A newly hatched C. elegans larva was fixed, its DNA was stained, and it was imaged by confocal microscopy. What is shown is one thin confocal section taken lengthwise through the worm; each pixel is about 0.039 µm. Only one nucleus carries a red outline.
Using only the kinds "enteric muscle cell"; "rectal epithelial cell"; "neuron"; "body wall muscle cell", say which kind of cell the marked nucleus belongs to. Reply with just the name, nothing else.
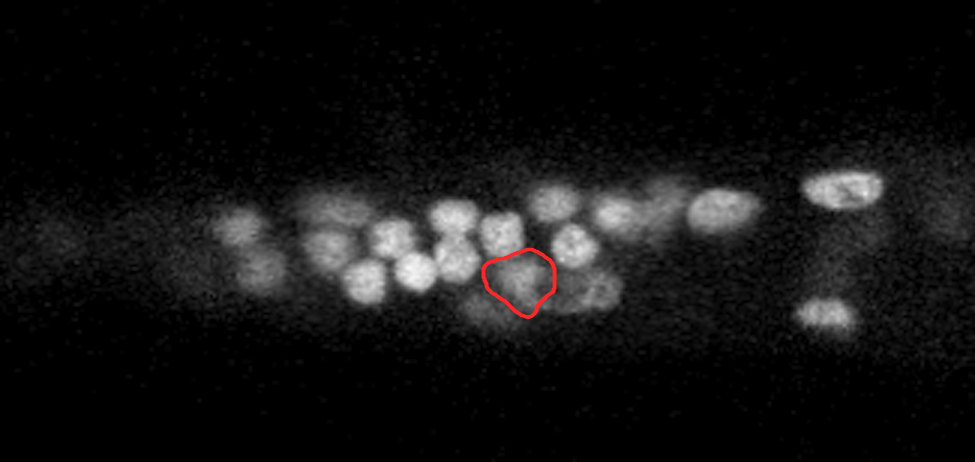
rectal epithelial cell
